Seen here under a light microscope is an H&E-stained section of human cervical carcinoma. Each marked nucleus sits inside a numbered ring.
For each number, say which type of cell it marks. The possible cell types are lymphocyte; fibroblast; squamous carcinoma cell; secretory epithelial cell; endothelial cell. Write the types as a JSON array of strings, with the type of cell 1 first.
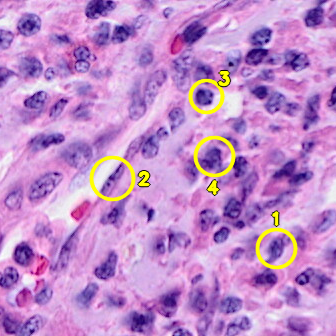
["lymphocyte", "endothelial cell", "lymphocyte", "lymphocyte"]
